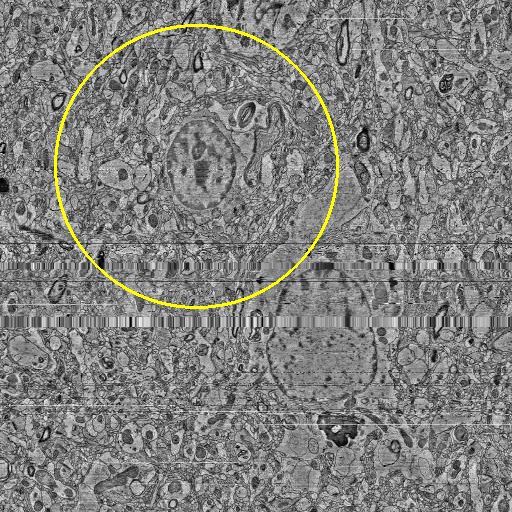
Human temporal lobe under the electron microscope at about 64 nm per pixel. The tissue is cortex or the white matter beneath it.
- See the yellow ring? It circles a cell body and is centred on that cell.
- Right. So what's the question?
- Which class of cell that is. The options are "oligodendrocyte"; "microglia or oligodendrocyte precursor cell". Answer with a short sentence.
The centre of the ring holds an oligodendrocyte.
